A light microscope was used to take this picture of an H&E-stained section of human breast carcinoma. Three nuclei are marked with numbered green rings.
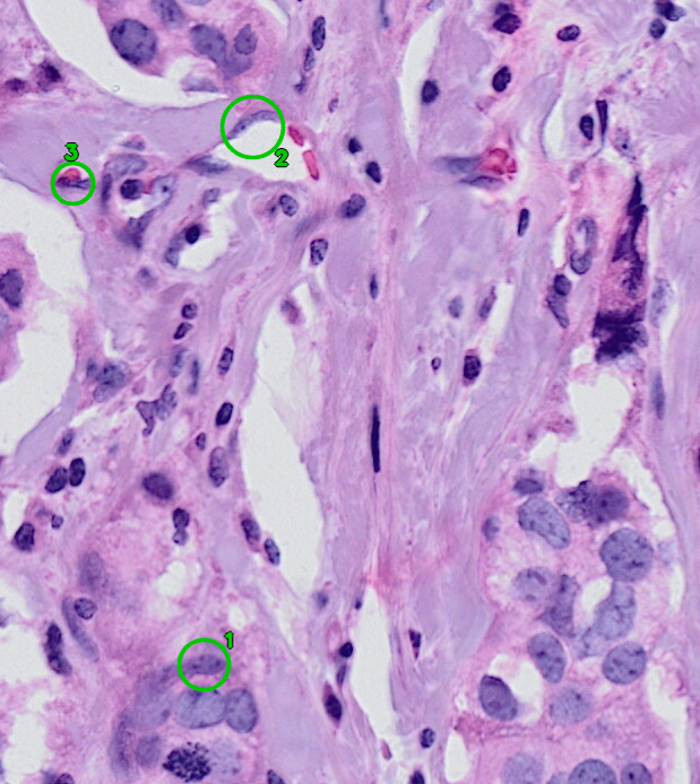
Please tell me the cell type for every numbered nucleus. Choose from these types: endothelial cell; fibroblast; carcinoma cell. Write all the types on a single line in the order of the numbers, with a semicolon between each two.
carcinoma cell; endothelial cell; endothelial cell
